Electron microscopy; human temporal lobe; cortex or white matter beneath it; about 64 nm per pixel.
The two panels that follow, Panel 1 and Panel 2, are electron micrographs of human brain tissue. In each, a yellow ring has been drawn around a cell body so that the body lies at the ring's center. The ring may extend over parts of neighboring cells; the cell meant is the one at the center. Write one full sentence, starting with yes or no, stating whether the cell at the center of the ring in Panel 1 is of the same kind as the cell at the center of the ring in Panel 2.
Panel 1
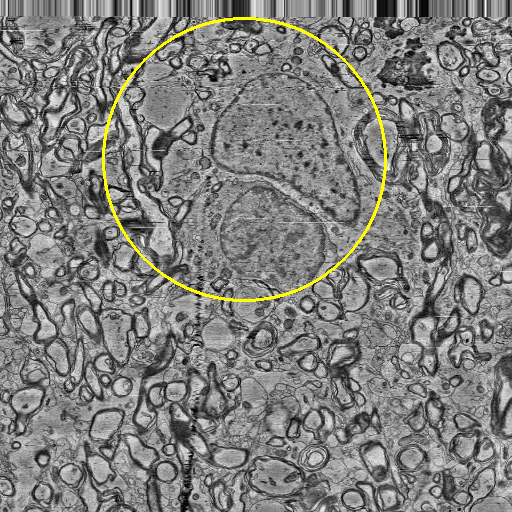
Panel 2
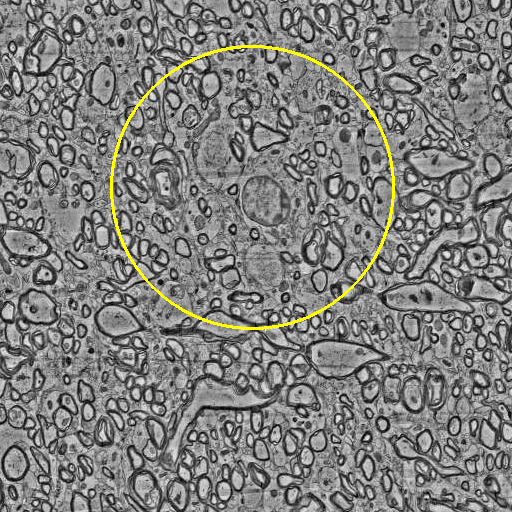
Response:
No, the cells in the two panels are of two kinds.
